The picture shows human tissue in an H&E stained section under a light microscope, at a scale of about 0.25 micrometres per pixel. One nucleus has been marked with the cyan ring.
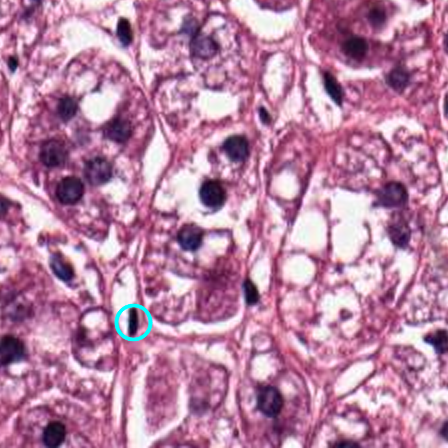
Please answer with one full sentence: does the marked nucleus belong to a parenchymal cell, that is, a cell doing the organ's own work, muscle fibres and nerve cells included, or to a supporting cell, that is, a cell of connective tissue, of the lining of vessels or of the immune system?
Identified as a supporting cell is the cell holding the marked nucleus.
